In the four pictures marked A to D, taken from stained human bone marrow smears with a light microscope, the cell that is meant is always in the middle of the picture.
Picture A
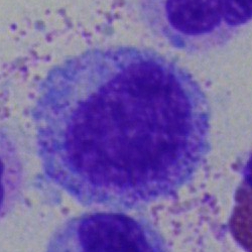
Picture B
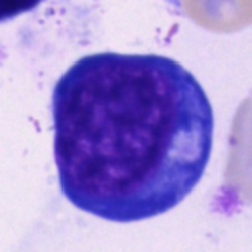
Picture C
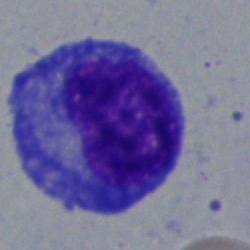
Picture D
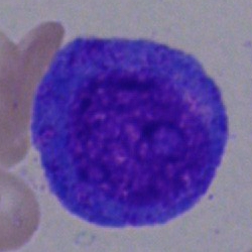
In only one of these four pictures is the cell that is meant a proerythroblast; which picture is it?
B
